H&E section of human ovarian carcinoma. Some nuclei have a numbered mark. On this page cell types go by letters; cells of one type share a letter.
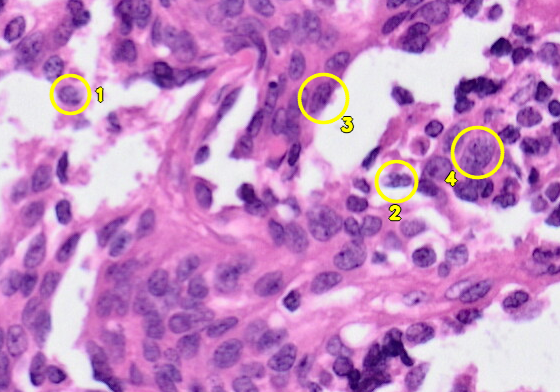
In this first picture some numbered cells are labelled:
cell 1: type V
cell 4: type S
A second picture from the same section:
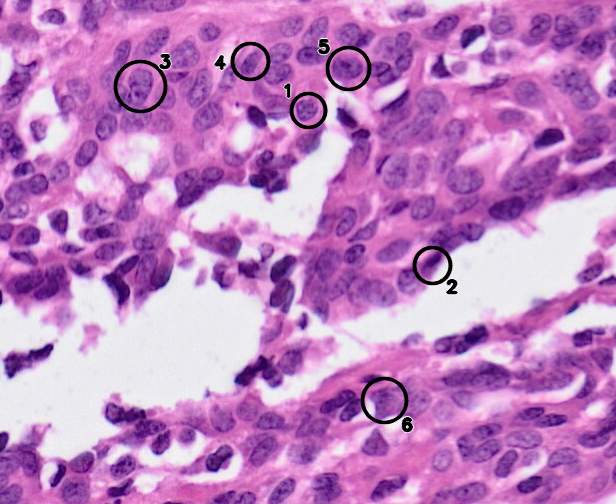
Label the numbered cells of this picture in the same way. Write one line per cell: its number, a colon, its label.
1: type V
2: type S
3: type S
4: type V
5: type S
6: type S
